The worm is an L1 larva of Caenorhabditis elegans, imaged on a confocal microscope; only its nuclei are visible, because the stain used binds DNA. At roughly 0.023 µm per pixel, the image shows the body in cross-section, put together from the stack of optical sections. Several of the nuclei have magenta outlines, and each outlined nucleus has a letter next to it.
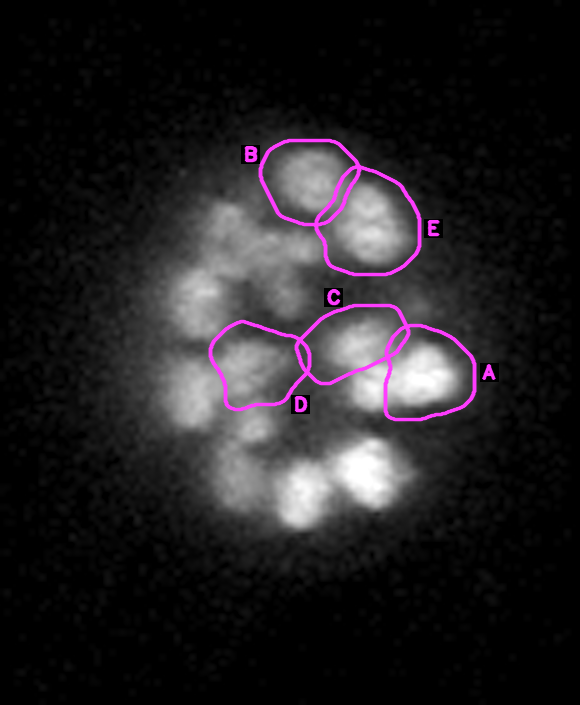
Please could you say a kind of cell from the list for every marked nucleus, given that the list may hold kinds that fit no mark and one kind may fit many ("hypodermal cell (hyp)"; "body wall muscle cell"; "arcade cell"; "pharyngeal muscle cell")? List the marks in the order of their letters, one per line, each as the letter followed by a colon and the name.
A: arcade cell
B: hypodermal cell (hyp)
C: pharyngeal muscle cell
D: pharyngeal muscle cell
E: body wall muscle cell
